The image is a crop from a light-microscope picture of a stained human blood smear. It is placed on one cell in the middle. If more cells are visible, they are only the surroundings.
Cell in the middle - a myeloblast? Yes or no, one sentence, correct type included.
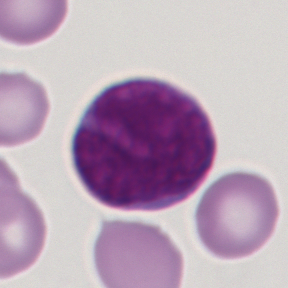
Yes, the cell located at the center is a myeloblast.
